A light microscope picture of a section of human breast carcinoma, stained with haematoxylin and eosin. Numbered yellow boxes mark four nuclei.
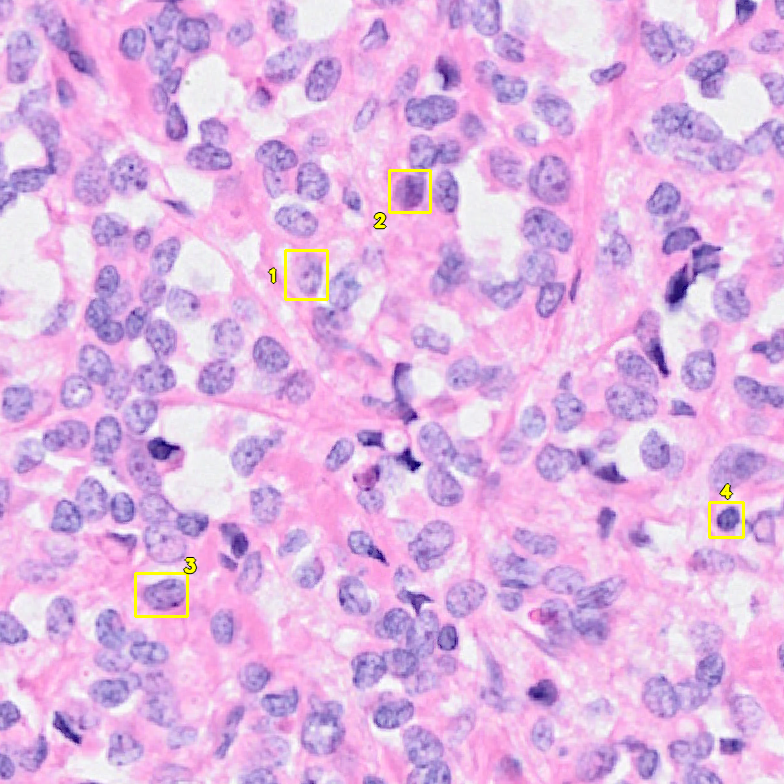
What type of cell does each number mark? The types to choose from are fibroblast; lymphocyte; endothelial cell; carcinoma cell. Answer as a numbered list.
1. carcinoma cell
2. carcinoma cell
3. carcinoma cell
4. lymphocyte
